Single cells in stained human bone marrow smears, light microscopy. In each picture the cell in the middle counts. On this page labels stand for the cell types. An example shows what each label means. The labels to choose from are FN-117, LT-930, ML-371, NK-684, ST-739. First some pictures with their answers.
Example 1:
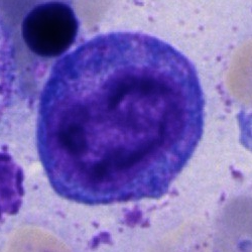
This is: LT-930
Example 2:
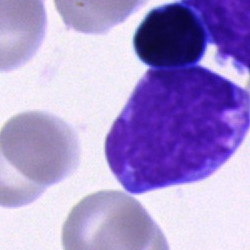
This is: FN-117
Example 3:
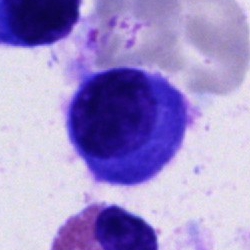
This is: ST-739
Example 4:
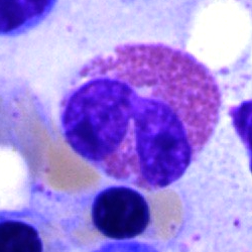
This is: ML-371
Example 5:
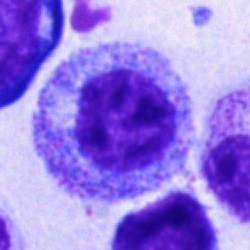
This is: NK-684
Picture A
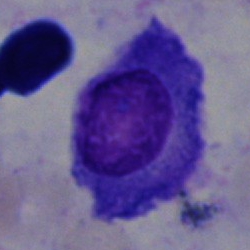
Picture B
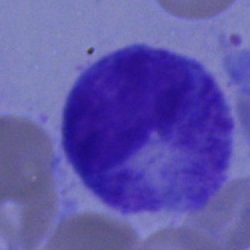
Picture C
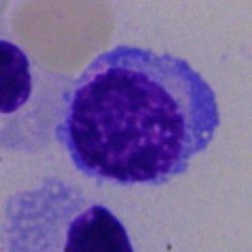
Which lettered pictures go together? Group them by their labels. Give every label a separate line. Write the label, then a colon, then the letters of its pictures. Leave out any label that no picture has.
LT-930: B
ST-739: A, C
